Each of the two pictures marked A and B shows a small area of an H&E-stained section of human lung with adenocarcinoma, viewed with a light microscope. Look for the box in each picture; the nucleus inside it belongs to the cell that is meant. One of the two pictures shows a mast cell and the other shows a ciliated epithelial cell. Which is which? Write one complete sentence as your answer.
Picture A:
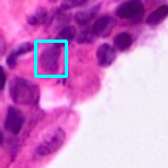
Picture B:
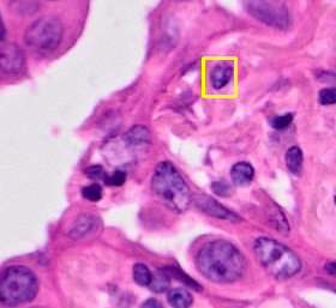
Picture B shows a mast cell, while picture A shows a ciliated epithelial cell.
